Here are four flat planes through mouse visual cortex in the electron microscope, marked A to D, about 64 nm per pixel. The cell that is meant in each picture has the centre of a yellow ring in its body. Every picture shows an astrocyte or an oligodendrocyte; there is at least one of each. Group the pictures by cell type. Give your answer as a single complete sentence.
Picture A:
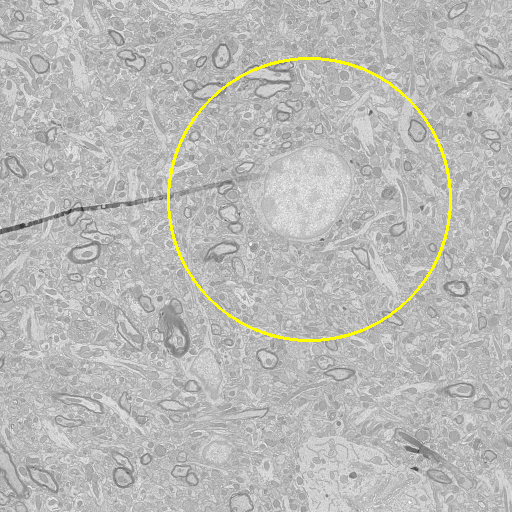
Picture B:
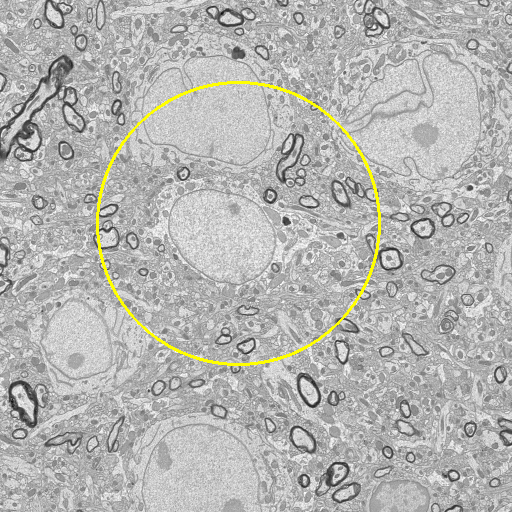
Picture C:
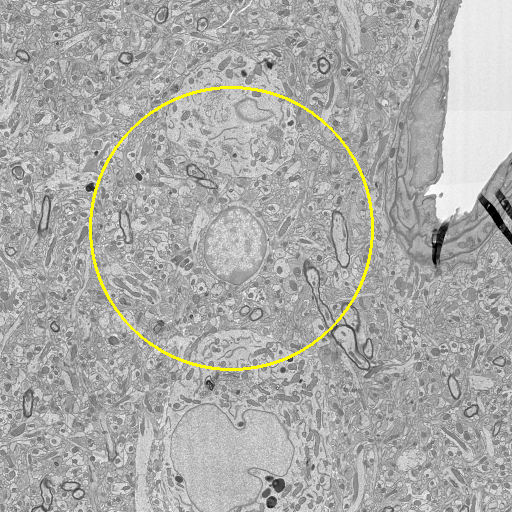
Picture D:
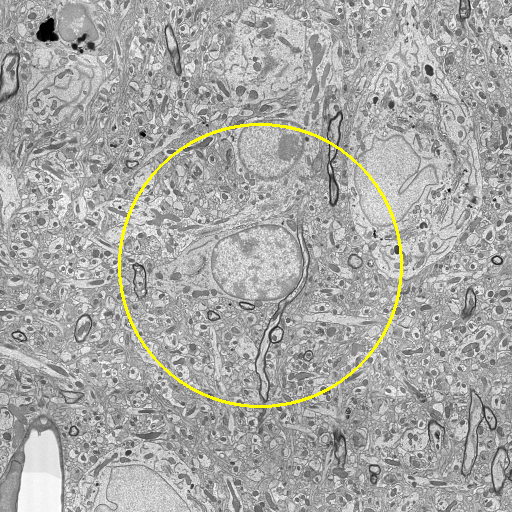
Picture B shows an astrocyte, while pictures A, C and D show oligodendrocytes.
